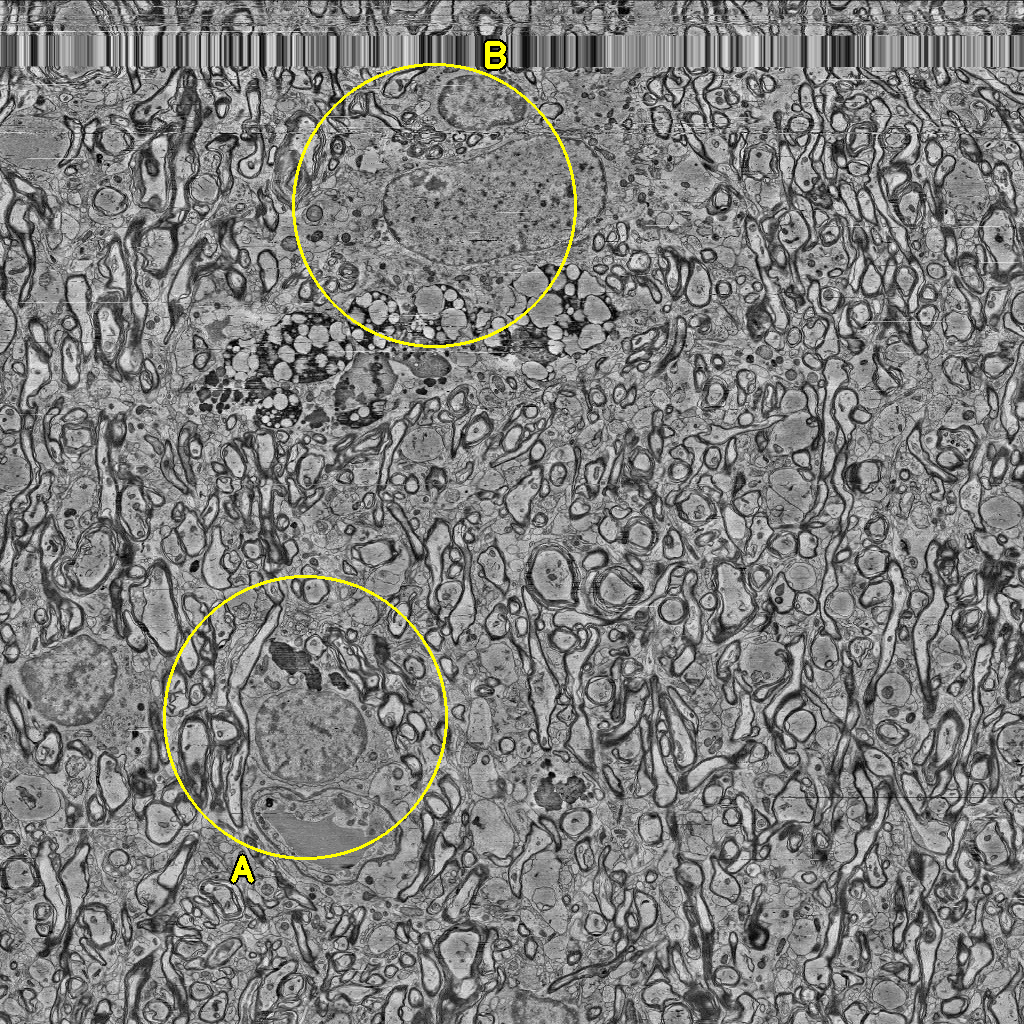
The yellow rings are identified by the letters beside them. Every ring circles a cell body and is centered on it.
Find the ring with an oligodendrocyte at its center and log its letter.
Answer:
A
